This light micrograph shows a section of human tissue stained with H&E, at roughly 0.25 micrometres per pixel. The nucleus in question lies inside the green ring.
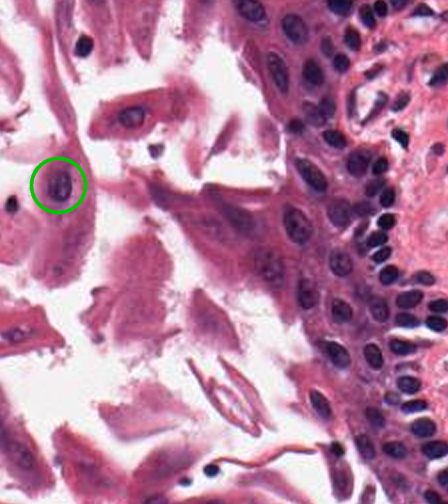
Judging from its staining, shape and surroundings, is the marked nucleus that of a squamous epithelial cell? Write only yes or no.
yes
